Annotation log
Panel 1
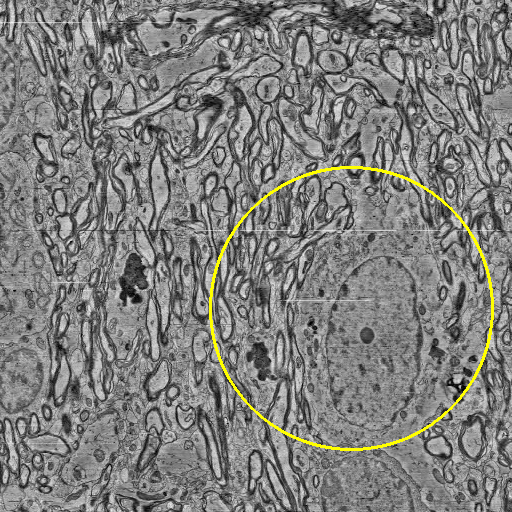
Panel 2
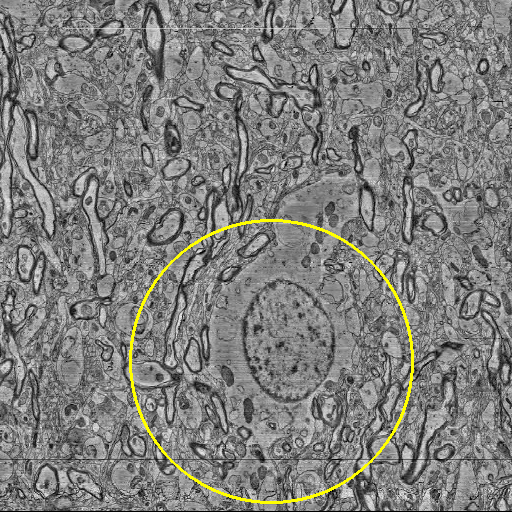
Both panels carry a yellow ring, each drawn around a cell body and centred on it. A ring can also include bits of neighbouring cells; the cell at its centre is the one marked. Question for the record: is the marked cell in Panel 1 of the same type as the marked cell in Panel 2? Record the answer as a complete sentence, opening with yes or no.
Yes, the marked cells in Panel 1 and Panel 2 are of the same type.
